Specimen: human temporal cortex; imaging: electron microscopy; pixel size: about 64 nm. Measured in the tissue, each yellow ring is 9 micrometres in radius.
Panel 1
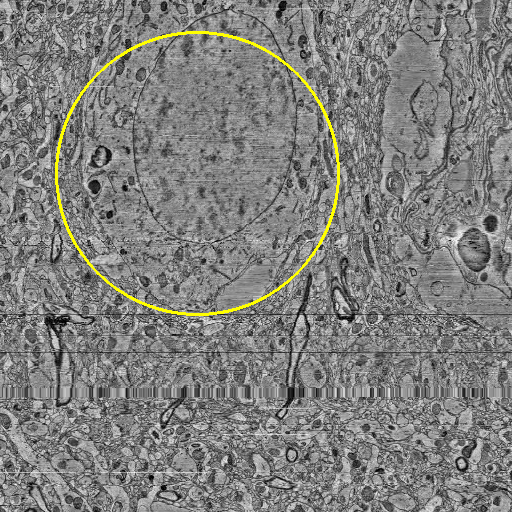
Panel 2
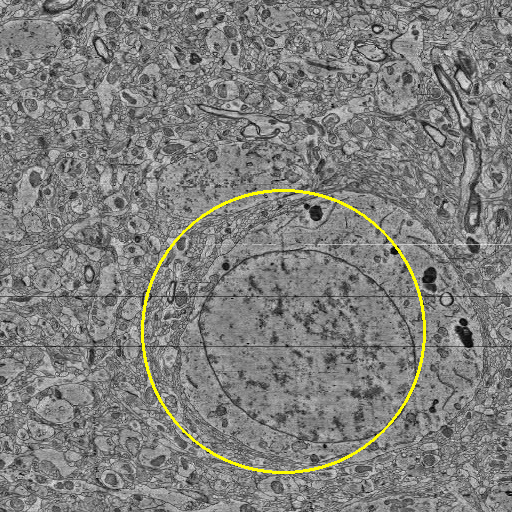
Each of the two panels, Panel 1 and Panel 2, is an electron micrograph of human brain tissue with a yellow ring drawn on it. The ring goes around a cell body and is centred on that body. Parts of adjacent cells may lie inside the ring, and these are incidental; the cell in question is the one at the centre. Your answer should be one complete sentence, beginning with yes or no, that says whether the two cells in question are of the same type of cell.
Yes, the two cells are of the same type.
